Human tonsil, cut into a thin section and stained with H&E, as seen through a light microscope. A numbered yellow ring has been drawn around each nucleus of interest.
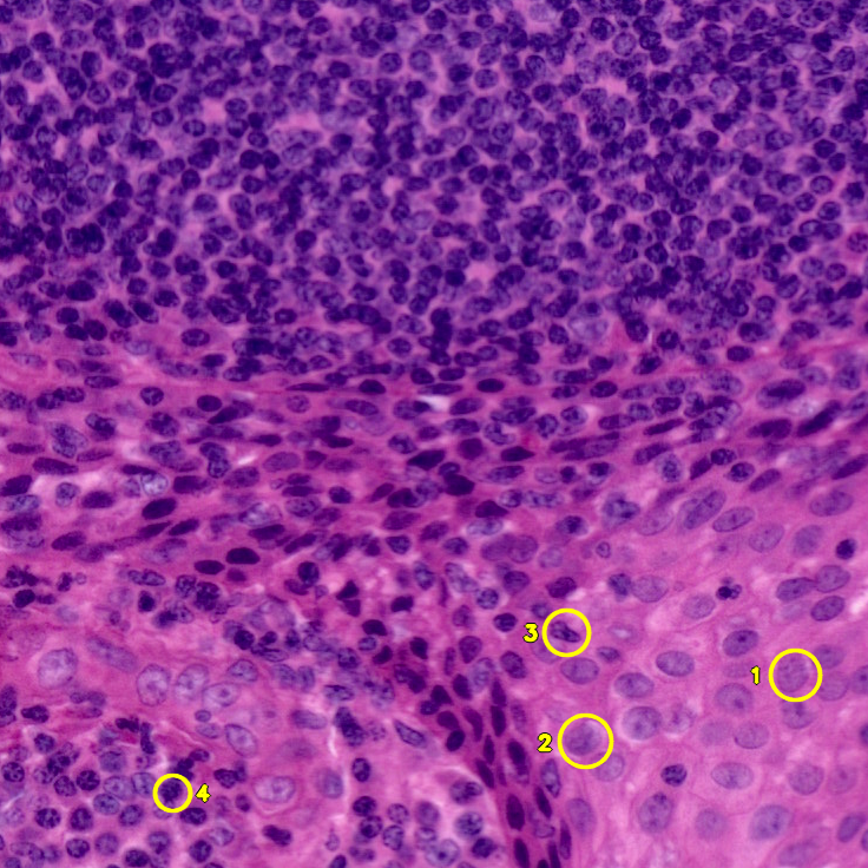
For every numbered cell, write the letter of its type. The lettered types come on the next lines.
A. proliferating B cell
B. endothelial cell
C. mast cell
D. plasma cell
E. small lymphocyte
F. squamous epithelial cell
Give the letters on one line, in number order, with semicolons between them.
F; F; F; D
